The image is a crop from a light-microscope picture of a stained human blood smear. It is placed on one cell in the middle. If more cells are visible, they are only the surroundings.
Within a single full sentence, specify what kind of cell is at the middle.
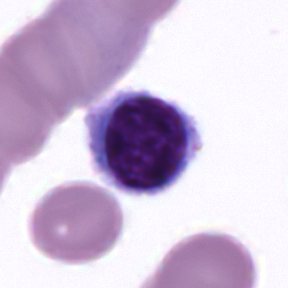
The central cell in this smear crop is a plasma cell.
